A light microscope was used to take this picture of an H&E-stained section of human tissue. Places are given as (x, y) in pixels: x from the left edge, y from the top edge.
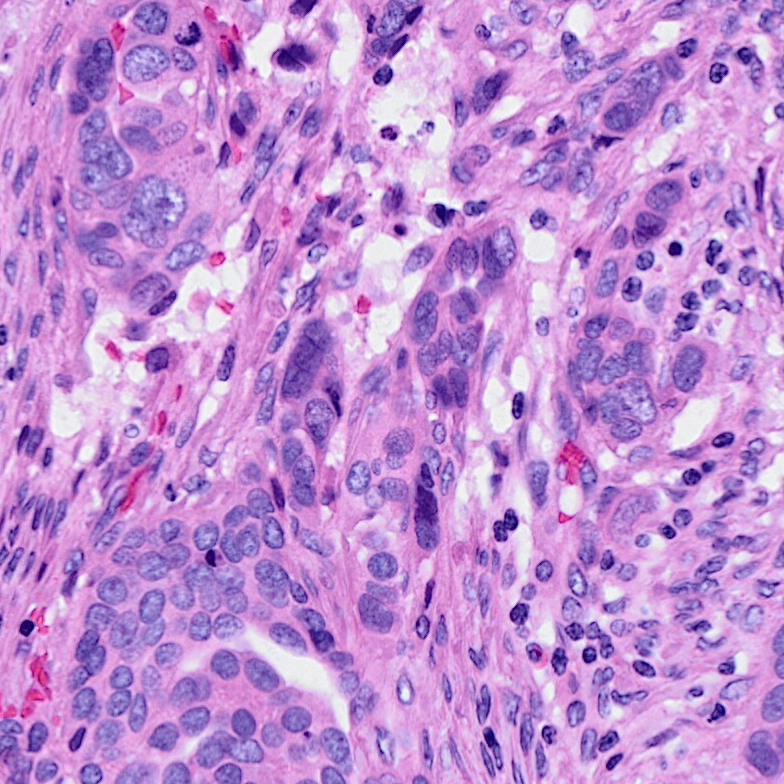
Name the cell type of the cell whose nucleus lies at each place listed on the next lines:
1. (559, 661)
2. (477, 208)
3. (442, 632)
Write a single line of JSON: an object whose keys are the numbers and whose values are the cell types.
{"1": "lymphocyte", "2": "lymphocyte", "3": "fibroblast"}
